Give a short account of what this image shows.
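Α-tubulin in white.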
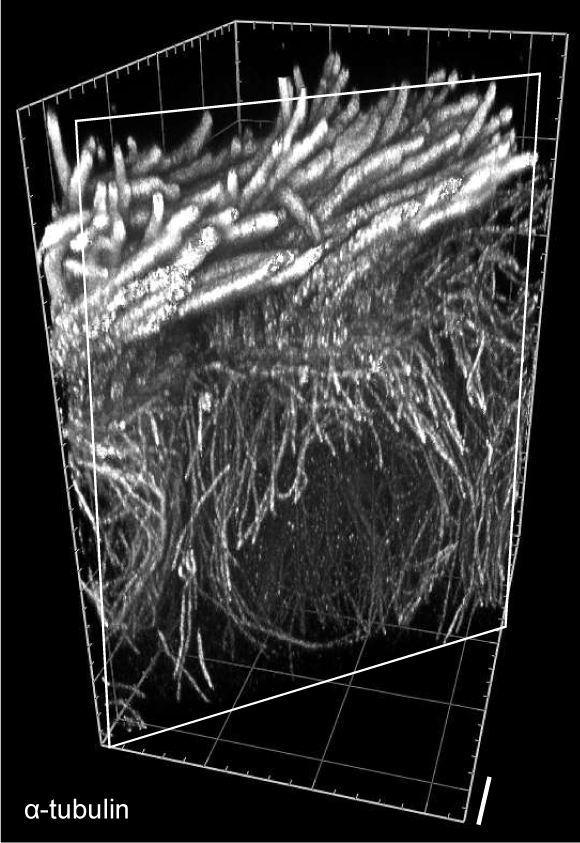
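The apical surface carries a dense tuft of many long, thick cilia lying roughly parallel and bending to one side. Beneath the apex a band of bright punctate material marks the cell top. The cytoplasm below is filled with a web of fine filaments, many running along the long axis of the cell. A rounded dark space in the lower part marks the nucleus, encircled by filaments.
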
